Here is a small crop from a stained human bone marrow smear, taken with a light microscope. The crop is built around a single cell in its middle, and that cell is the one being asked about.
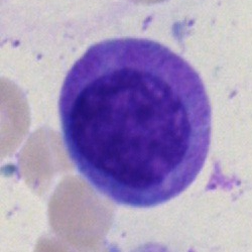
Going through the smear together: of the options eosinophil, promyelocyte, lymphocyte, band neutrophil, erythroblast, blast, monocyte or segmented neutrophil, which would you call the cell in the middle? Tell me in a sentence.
The cell around which this crop is centred is a promyelocyte.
